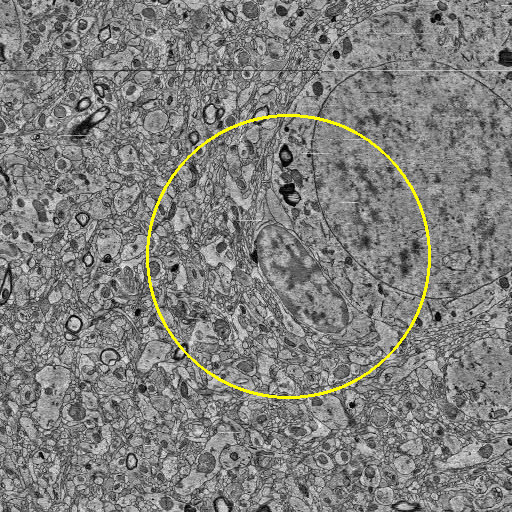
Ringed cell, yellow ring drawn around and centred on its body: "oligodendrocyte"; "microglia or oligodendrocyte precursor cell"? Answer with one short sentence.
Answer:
This ringed cell is a microglial cell or oligodendrocyte precursor cell.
